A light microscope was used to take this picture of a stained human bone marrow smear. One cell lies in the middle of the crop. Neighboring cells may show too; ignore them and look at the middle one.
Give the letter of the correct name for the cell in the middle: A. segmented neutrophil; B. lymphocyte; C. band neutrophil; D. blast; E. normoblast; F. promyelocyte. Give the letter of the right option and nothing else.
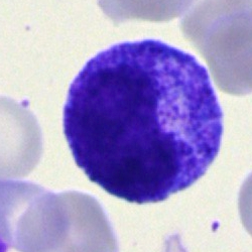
F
